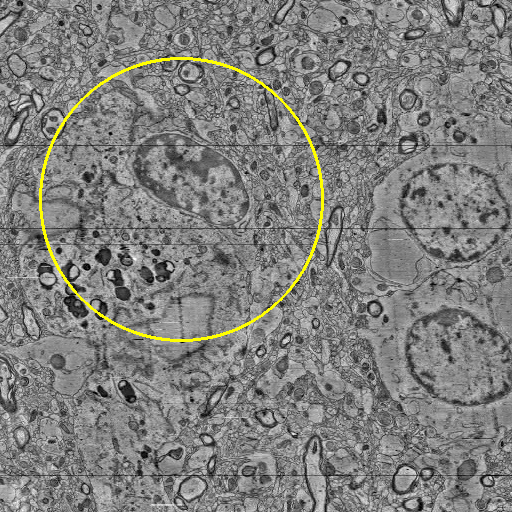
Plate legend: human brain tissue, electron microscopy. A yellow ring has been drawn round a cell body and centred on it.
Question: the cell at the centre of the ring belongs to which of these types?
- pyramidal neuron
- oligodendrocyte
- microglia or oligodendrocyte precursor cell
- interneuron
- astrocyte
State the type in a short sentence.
The cell in the middle of the ring is a microglial cell or oligodendrocyte precursor cell.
